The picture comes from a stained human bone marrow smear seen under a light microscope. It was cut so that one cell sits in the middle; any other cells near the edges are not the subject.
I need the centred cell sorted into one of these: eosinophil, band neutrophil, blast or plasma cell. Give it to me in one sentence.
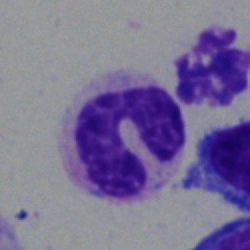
The crop's centre is taken up by a band neutrophil.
